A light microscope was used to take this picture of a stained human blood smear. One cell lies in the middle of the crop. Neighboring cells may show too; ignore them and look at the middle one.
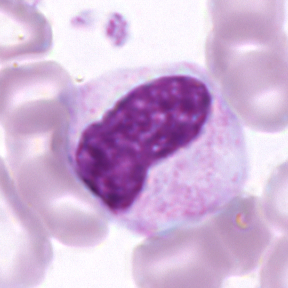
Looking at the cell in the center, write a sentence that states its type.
In this crop, the cell at the very middle is a metamyelocyte.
